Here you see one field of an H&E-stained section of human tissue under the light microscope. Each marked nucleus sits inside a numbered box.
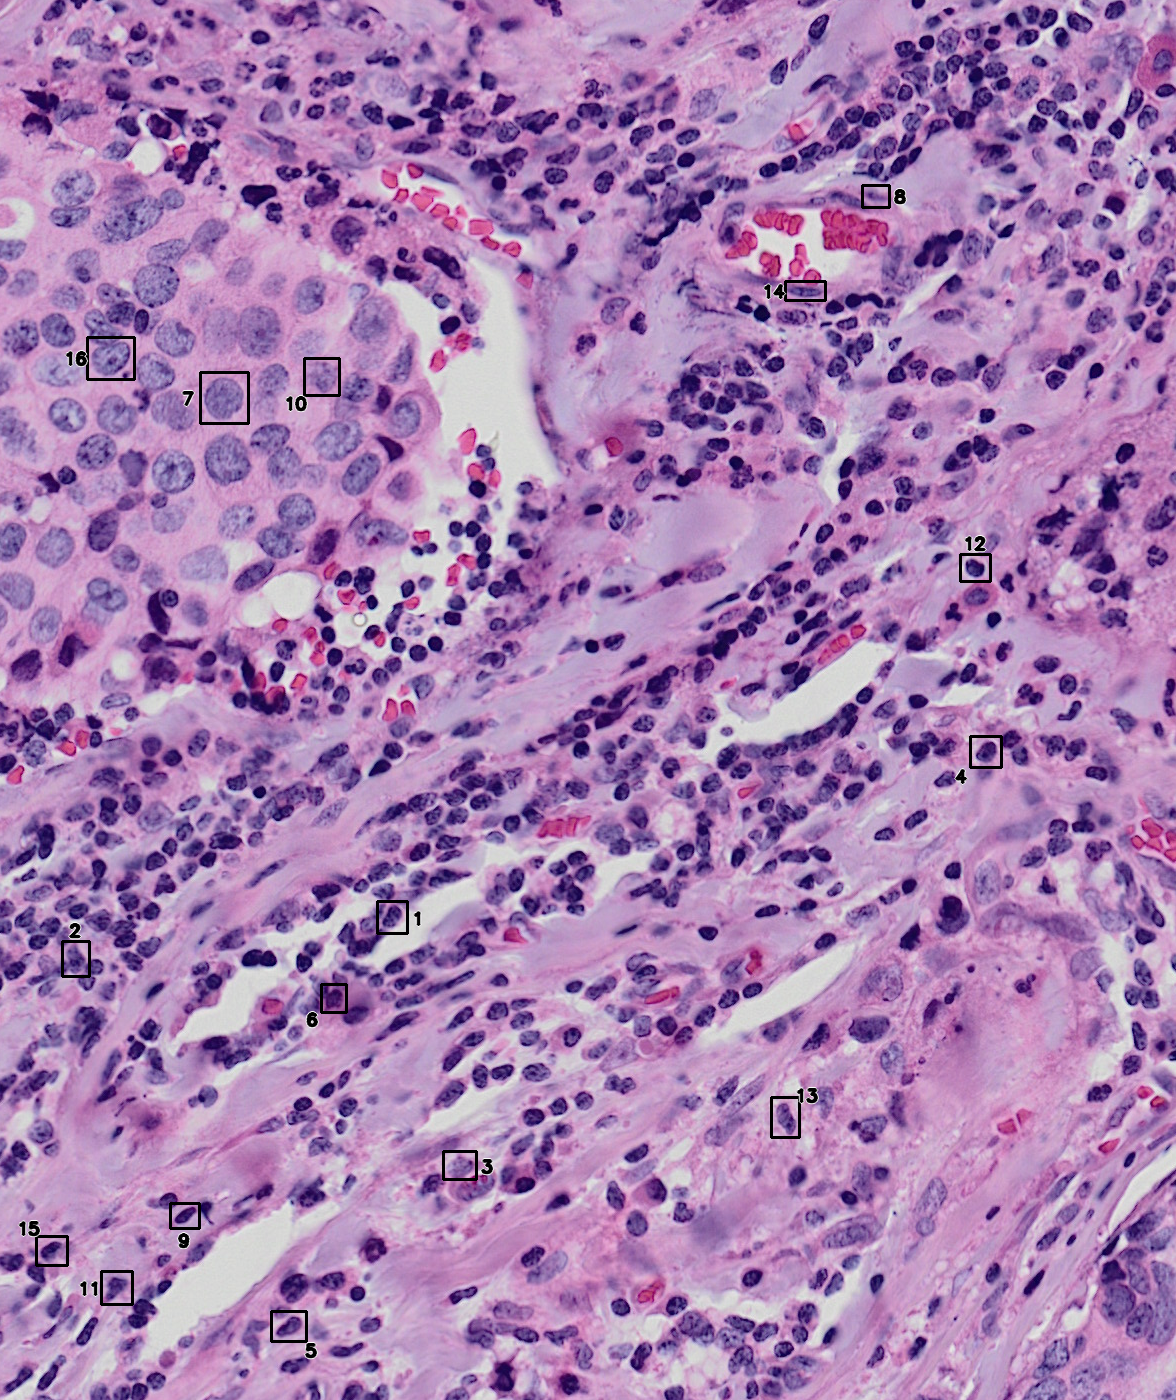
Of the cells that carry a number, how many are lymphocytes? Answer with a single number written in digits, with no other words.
9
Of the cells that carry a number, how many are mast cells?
1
